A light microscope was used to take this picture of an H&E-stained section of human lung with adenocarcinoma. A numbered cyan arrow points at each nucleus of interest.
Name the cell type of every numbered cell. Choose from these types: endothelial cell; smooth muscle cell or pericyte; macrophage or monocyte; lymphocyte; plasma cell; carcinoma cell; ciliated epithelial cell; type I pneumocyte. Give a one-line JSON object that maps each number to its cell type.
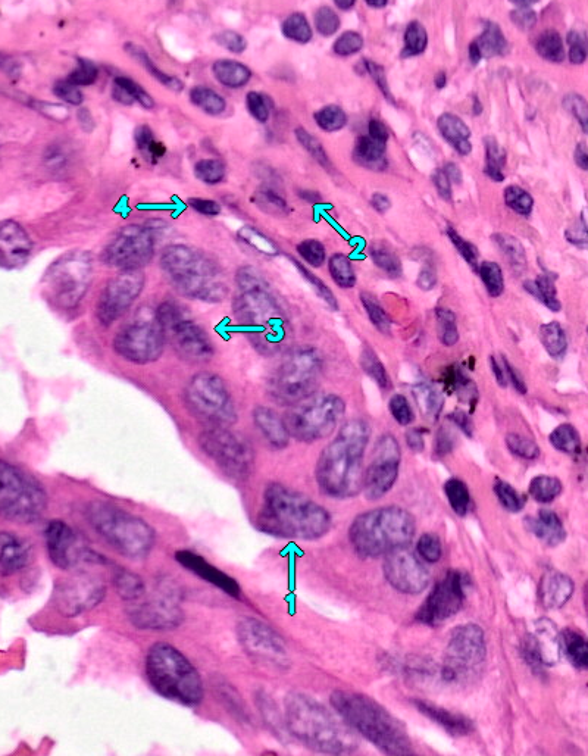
{"1": "carcinoma cell", "2": "plasma cell", "3": "carcinoma cell", "4": "lymphocyte"}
